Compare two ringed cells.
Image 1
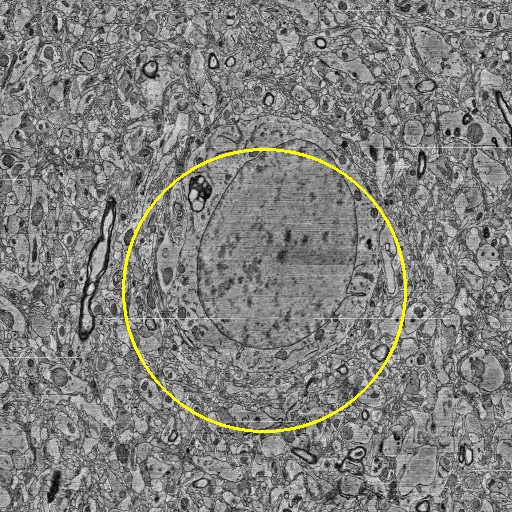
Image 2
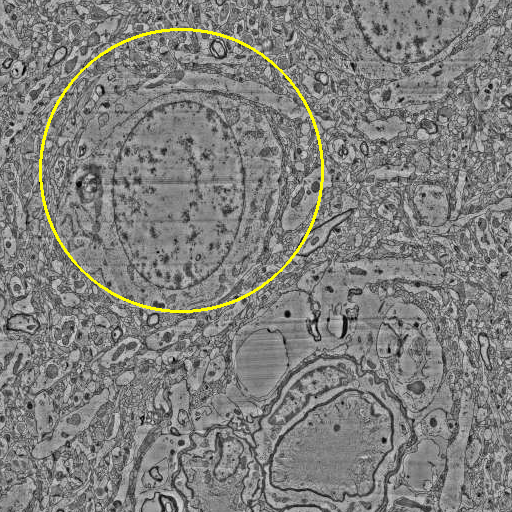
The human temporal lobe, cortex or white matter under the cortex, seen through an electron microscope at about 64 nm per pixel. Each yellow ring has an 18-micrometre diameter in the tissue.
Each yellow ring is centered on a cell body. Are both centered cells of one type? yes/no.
yes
